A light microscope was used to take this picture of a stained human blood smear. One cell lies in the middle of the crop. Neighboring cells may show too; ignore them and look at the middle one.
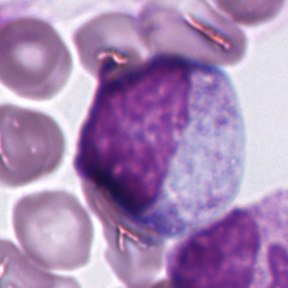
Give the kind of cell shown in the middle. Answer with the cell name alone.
myelocyte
